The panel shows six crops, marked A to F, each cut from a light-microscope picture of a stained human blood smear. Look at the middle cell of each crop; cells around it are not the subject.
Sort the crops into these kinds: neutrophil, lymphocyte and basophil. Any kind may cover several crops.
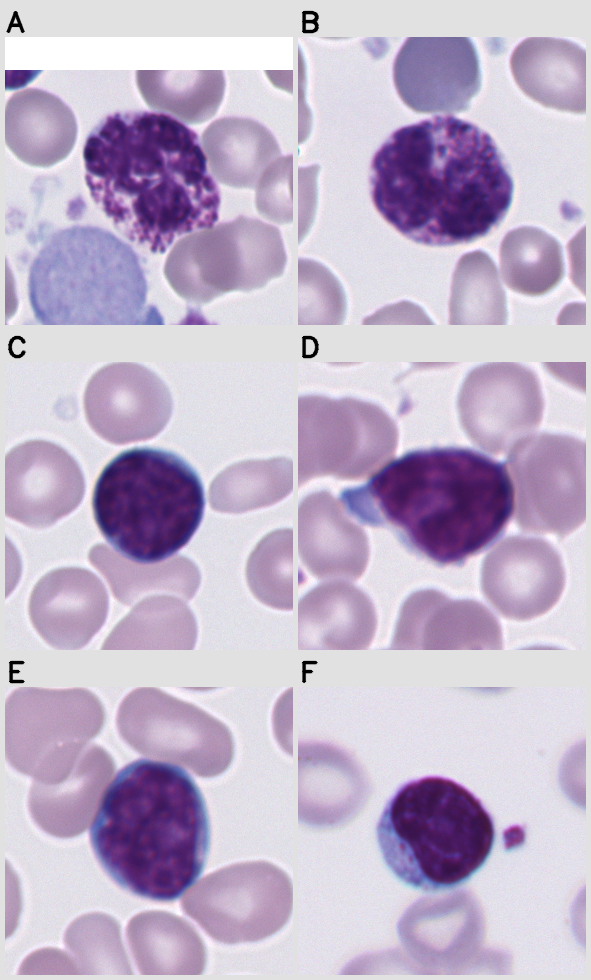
A: basophil
B: basophil
C: lymphocyte
D: lymphocyte
E: lymphocyte
F: lymphocyte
